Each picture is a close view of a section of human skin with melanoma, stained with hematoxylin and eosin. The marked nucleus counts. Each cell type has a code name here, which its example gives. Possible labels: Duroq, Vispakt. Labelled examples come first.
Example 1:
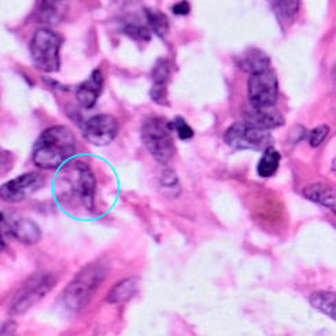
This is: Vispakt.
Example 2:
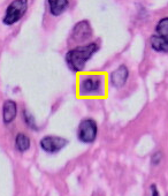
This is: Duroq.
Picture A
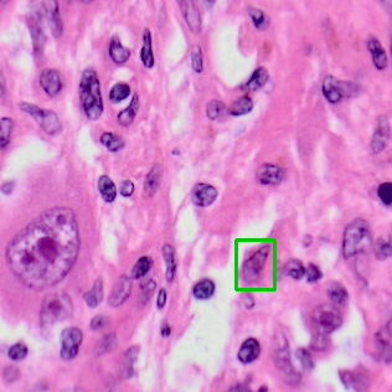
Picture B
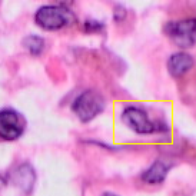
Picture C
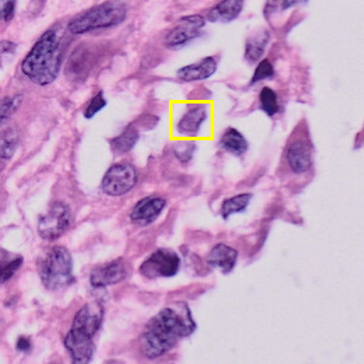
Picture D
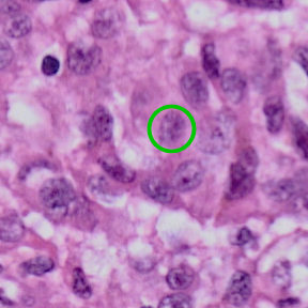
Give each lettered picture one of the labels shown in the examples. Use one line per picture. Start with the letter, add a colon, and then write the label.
A: Duroq.
B: Duroq.
C: Vispakt.
D: Vispakt.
